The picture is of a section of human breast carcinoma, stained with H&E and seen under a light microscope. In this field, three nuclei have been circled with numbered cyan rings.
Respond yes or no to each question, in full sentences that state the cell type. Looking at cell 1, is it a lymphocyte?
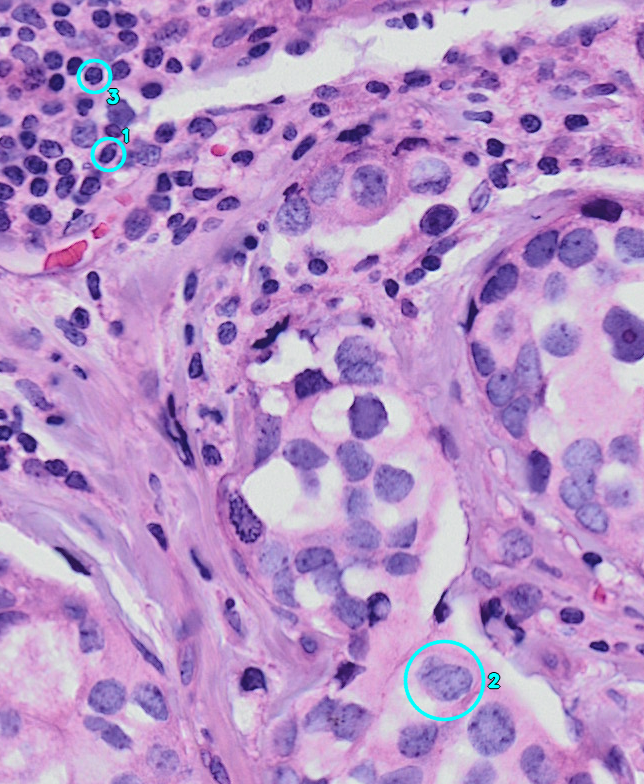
Yes, what number 1 marks is a lymphocyte.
